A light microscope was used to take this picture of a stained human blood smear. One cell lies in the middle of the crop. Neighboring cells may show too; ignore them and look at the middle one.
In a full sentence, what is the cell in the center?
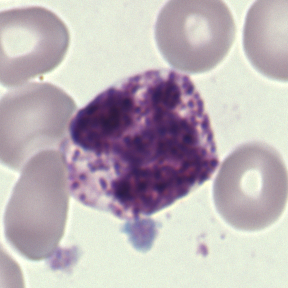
On this slide crop, the central cell is a basophil.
